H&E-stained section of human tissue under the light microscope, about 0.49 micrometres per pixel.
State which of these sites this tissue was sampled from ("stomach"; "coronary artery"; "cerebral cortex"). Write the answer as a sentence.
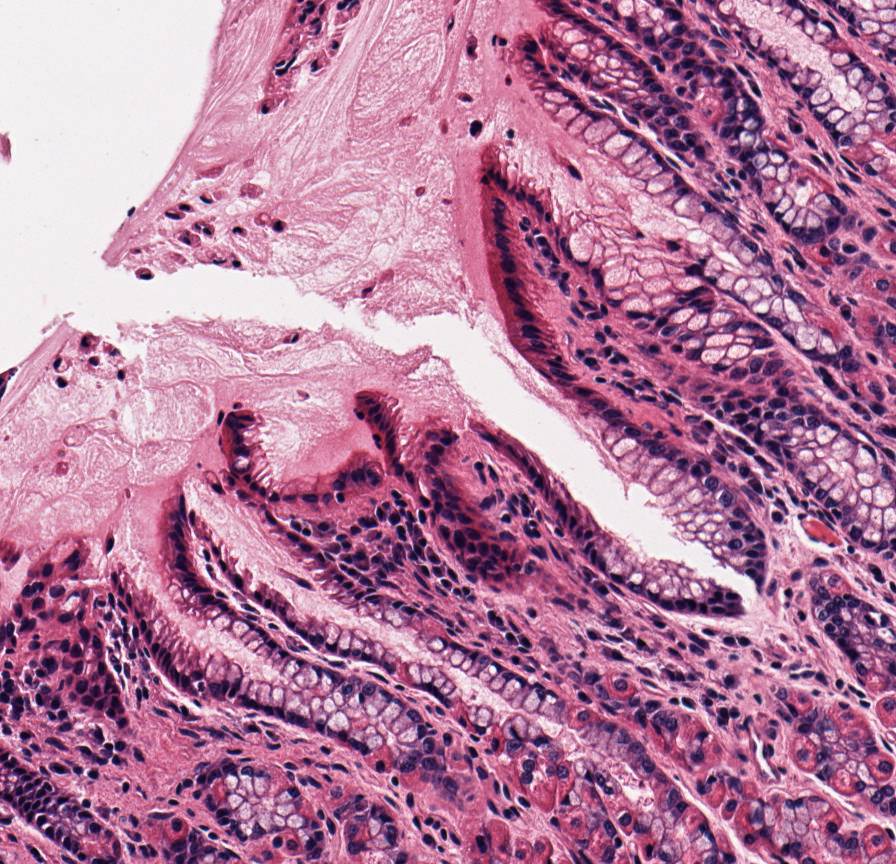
The site this tissue was sampled from is the stomach.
